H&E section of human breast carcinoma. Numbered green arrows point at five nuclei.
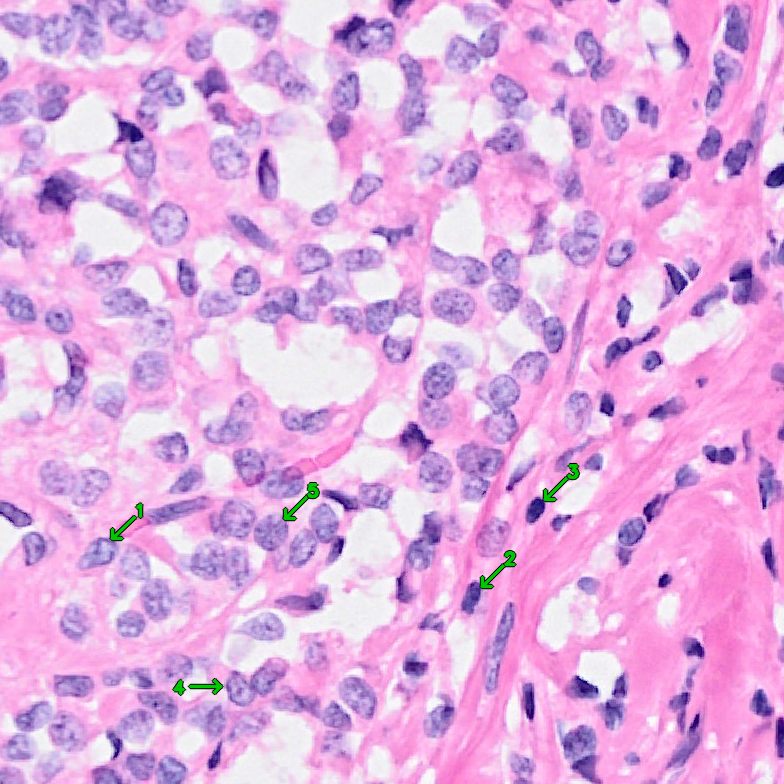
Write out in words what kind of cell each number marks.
Cell 1 is an endothelial cell, cell 2 is a lymphocyte, cell 3 is a lymphocyte, cell 4 is a carcinoma cell and cell 5 is a carcinoma cell.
